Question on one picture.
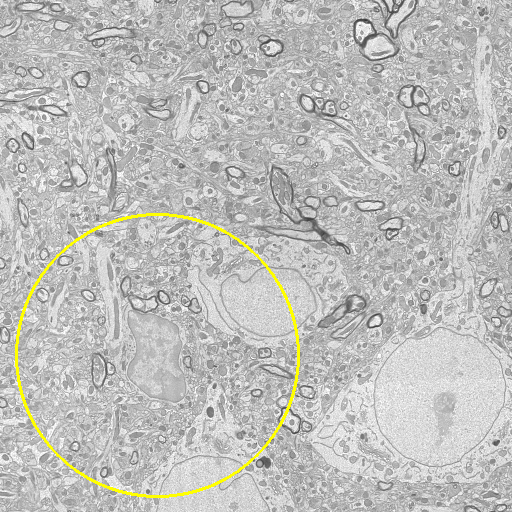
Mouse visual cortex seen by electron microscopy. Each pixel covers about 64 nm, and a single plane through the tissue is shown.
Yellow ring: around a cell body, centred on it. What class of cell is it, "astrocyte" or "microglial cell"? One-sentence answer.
This is a microglial cell, the cell the ring is centred on.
